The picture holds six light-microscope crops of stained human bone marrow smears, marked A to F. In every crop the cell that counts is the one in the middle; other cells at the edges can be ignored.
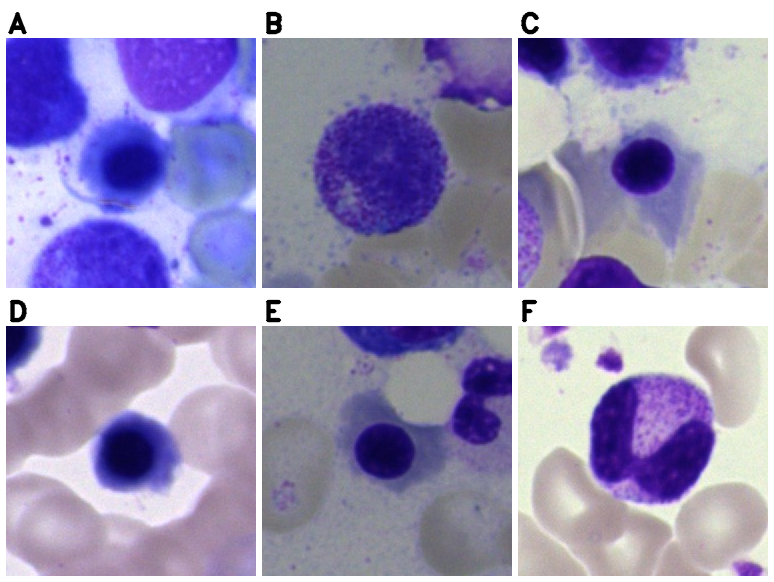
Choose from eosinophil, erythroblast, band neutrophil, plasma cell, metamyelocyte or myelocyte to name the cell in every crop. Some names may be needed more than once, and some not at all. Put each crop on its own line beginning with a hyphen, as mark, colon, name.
- A: erythroblast
- B: myelocyte
- C: erythroblast
- D: erythroblast
- E: erythroblast
- F: band neutrophil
